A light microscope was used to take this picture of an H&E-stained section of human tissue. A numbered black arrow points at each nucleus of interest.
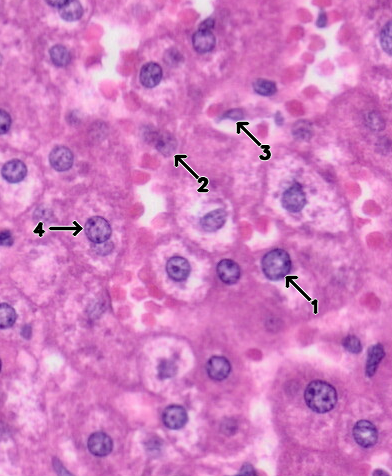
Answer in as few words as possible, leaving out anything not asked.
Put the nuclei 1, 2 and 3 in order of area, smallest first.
3, 2, 1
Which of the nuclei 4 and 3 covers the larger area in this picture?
4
